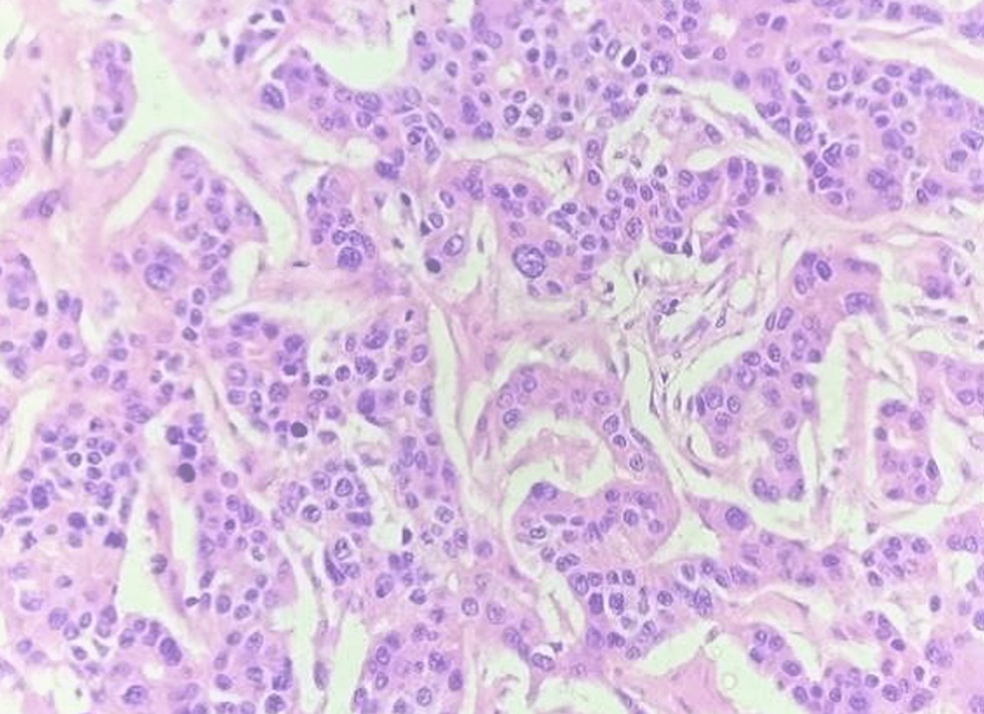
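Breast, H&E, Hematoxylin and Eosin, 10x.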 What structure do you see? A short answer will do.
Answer: Cords and trabeculae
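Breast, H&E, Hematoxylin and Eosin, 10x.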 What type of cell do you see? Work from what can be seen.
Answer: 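Cells have enlarged round to oval nuclei with visible nucleoli. Nuclei vary in size and some are dark and hyperchromatic. Cells are crowded in sheets and bands with pink cytoplasm.
Hence: tumor cells.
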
